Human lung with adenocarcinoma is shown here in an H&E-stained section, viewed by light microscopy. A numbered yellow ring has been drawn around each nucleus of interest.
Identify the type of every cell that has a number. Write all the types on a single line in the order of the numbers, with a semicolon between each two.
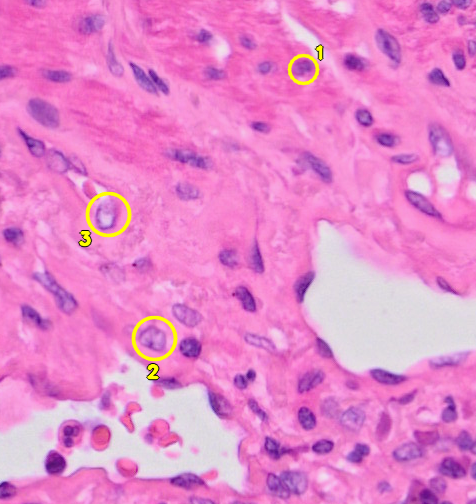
smooth muscle cell or pericyte; fibroblast; endothelial cell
